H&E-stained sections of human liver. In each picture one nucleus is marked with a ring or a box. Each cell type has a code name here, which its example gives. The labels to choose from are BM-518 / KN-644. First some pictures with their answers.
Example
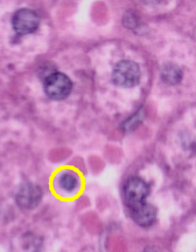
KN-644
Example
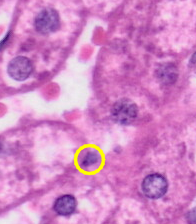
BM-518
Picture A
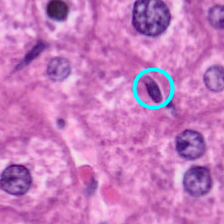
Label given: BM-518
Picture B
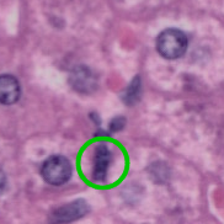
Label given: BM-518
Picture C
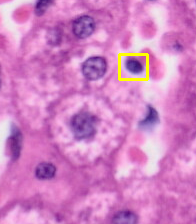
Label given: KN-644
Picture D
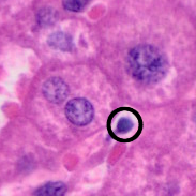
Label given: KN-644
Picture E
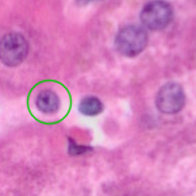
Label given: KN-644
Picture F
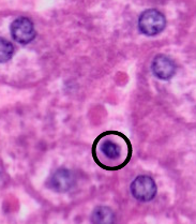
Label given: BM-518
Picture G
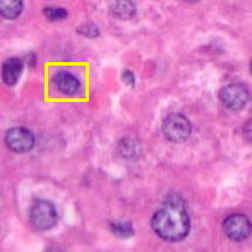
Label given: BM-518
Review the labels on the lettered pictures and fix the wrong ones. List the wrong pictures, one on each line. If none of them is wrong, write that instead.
A: not BM-518 but KN-644
F: not BM-518 but KN-644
